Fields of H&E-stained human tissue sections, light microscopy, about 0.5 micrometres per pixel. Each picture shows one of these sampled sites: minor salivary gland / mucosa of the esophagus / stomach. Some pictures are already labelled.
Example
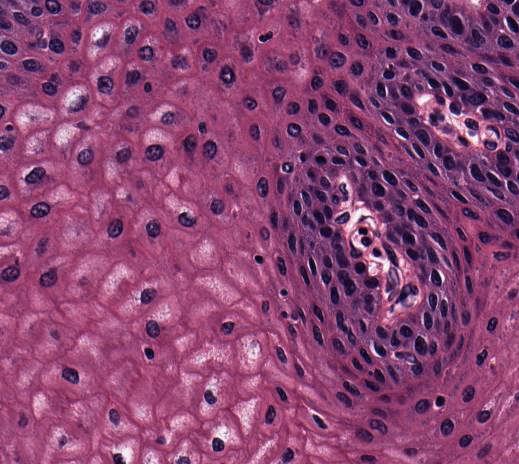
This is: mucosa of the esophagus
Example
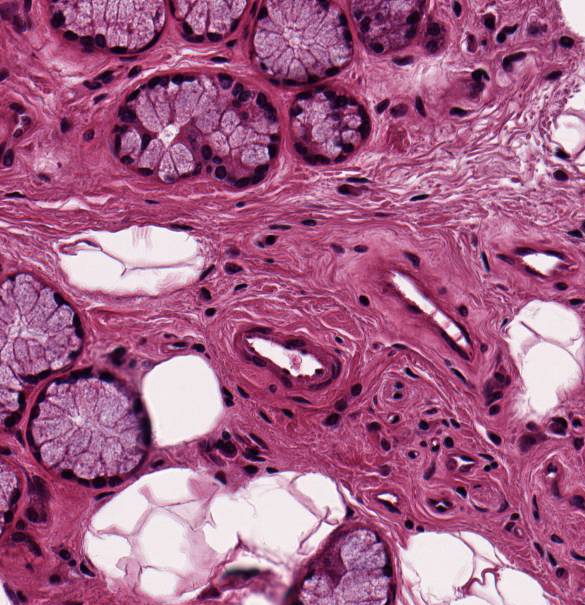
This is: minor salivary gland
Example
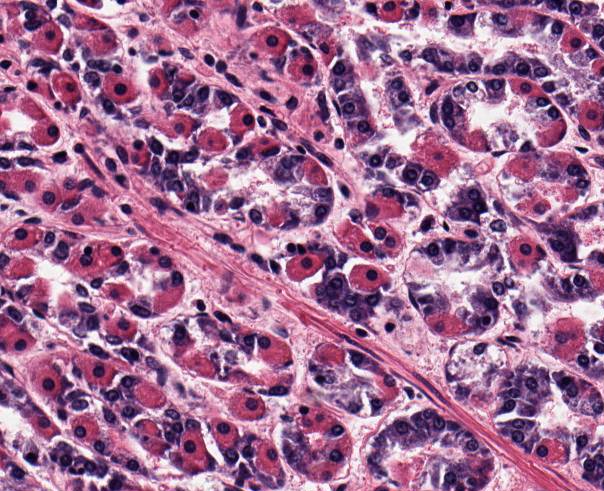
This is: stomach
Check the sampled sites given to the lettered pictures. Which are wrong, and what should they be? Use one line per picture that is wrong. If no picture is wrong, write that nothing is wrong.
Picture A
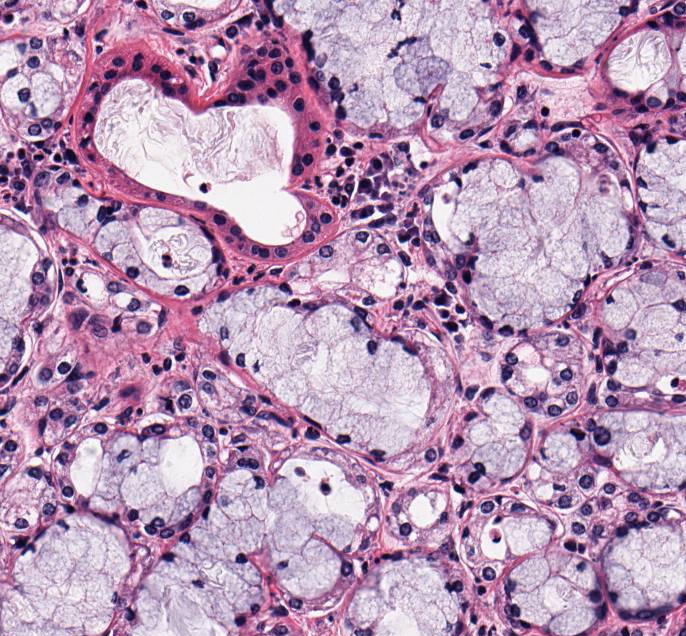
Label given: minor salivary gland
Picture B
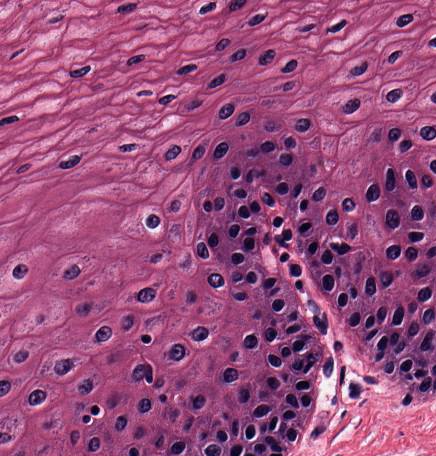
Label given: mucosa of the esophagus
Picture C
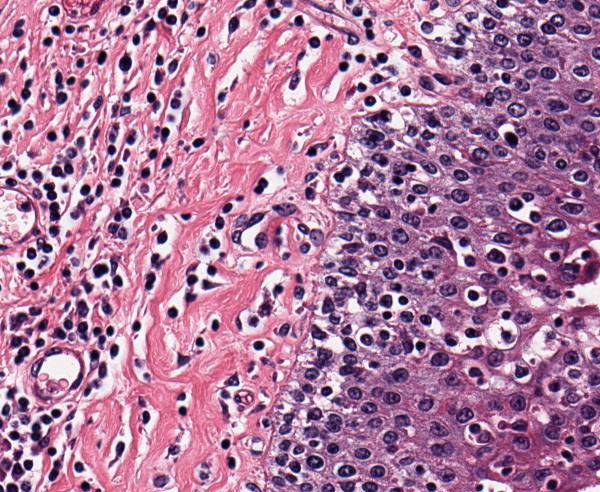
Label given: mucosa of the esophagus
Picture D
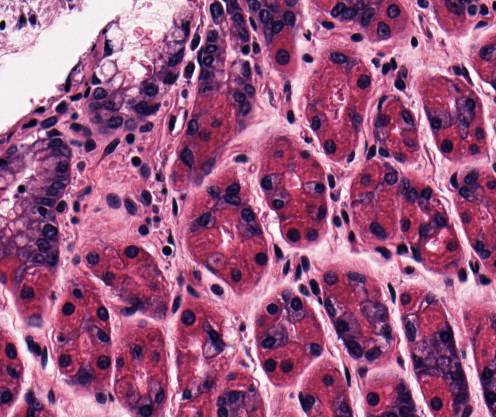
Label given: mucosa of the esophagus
D should be stomach, not mucosa of the esophagus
